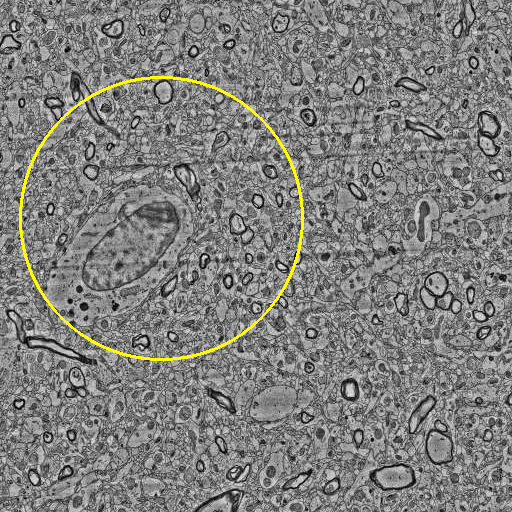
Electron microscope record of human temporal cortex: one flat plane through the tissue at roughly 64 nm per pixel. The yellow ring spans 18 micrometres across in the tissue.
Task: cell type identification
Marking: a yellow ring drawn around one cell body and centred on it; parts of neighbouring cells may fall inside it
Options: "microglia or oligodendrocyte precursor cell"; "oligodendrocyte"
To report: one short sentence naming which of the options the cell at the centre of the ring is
The cell at the centre of the ring is a microglial cell or oligodendrocyte precursor cell.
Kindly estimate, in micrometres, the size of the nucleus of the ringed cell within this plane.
About 7 by 3 micrometers in this plane, so the nucleus is clearly longer than it is wide.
